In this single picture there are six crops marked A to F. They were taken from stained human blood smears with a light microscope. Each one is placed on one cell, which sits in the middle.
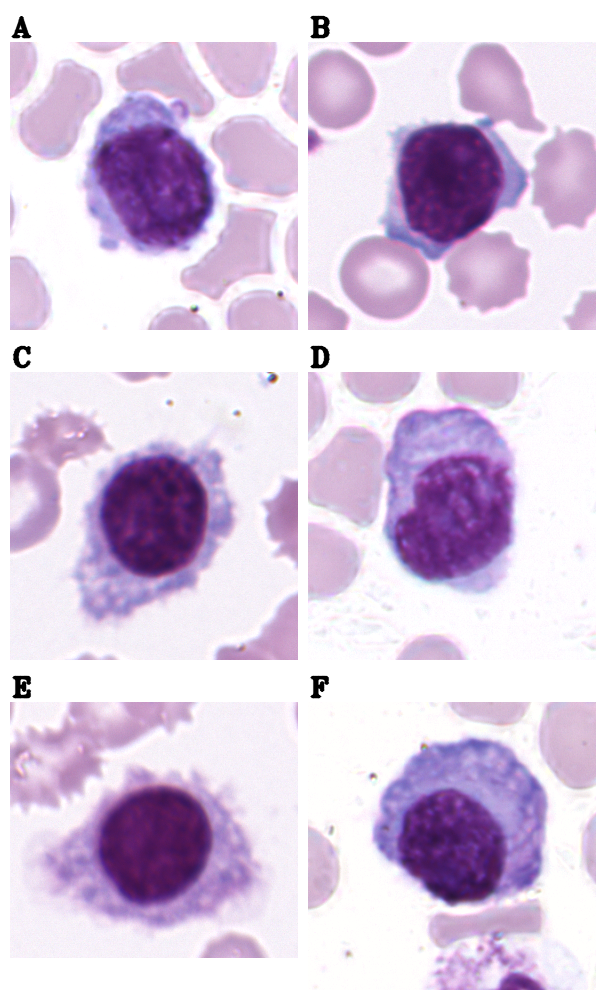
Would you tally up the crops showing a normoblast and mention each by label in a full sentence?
The count for normoblasts is zero, since no crop shows any.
